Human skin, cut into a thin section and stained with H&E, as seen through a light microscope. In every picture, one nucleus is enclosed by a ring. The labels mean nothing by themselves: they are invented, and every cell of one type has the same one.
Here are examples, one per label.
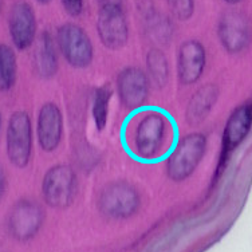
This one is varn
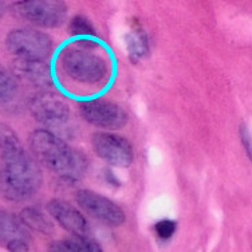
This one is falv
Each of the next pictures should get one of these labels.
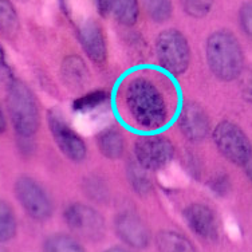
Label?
falv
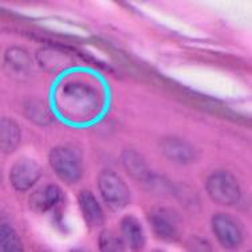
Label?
varn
